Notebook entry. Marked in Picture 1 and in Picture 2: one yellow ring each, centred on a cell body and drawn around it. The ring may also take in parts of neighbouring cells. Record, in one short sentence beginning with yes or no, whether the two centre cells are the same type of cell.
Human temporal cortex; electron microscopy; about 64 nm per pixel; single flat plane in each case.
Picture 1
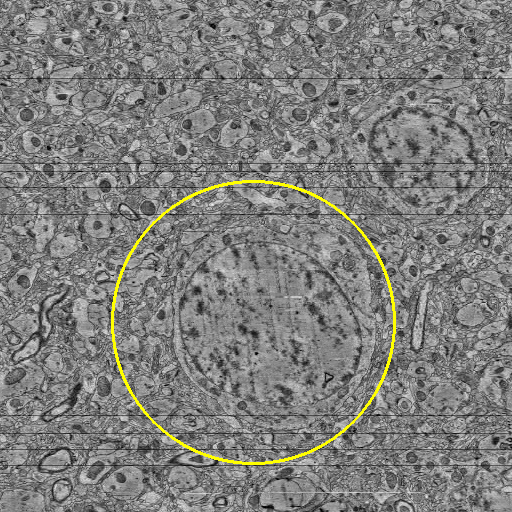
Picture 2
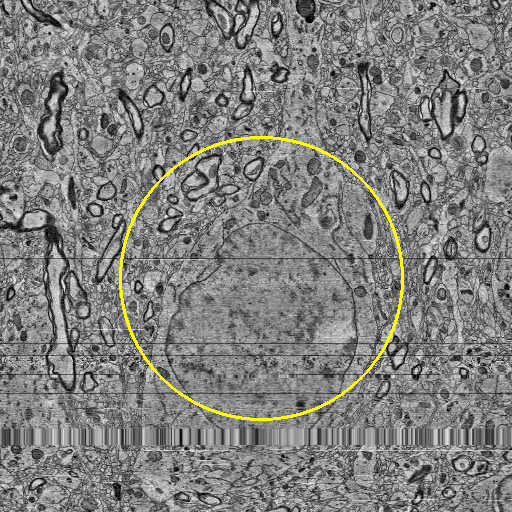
Yes, both are the same type of cell.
